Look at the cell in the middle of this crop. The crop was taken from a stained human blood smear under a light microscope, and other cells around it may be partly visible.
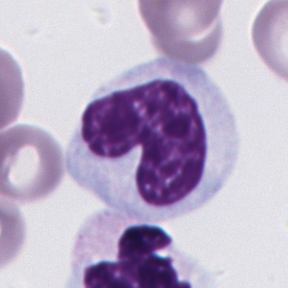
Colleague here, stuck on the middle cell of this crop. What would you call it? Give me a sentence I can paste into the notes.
At the center of the crop sits a band neutrophil.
